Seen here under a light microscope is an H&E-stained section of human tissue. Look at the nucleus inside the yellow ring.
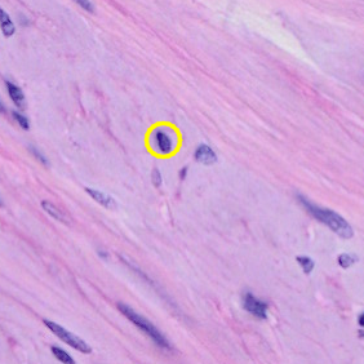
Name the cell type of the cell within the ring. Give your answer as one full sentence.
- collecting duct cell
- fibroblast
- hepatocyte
Typologically, the cell within the ring is a fibroblast in this section.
